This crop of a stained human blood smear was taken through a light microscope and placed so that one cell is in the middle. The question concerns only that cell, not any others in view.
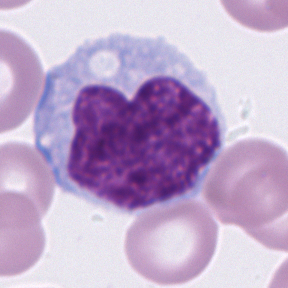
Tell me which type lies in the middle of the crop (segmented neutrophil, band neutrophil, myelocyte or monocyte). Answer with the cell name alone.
monocyte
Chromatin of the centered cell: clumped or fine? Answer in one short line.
The chromatin pattern is fine and free of coarse clumps.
